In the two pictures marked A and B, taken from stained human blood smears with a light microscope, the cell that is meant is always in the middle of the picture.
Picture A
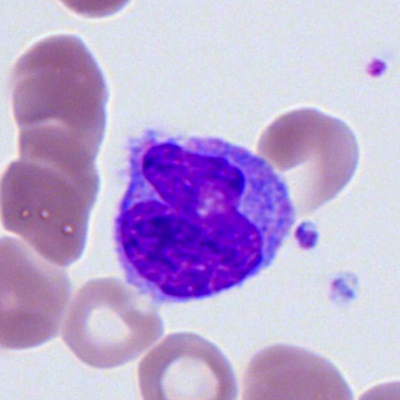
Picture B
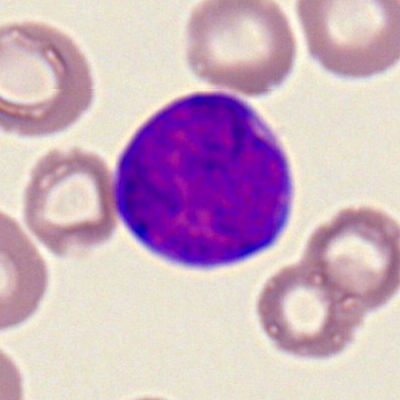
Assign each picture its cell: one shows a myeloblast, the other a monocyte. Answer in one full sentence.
Picture A shows a monocyte and picture B shows a myeloblast.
